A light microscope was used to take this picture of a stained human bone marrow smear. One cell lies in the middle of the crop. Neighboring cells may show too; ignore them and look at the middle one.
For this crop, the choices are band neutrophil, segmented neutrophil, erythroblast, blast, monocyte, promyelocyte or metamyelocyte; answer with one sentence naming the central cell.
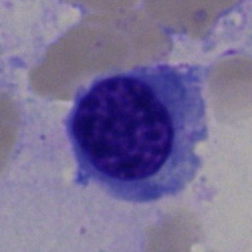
As for the central cell, it is an erythroblast.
